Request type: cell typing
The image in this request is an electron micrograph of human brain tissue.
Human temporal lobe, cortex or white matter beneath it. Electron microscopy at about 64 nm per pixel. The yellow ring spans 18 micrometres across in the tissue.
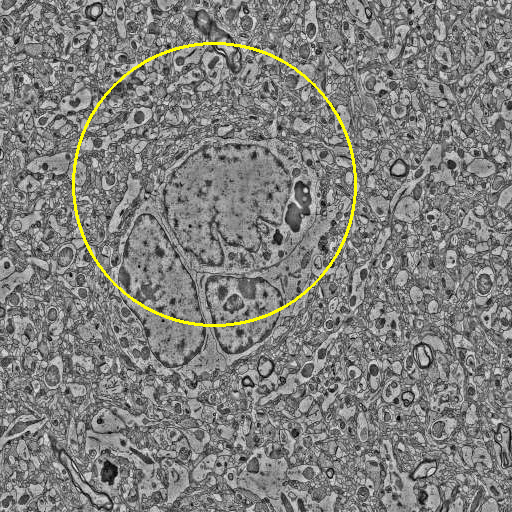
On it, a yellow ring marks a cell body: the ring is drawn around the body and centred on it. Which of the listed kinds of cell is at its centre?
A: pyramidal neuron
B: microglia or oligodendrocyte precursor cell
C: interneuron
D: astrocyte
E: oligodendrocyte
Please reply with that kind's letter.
C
